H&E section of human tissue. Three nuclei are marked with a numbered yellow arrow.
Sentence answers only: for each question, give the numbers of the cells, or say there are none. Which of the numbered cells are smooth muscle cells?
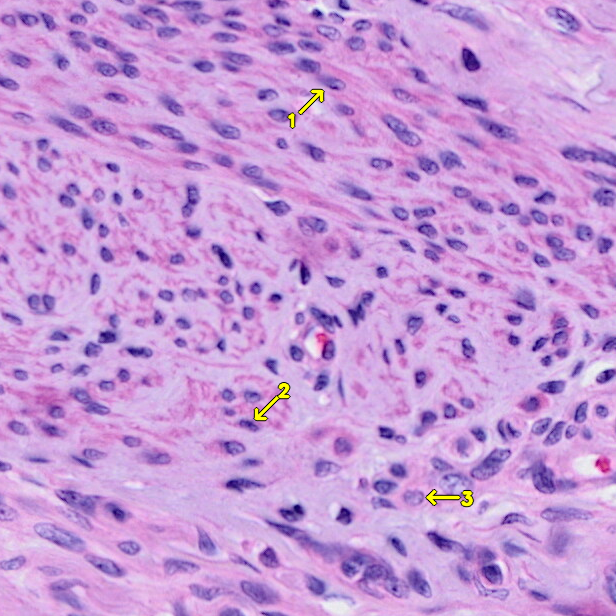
By cell type, the cells numbered 1 and 2 are smooth muscle cells.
